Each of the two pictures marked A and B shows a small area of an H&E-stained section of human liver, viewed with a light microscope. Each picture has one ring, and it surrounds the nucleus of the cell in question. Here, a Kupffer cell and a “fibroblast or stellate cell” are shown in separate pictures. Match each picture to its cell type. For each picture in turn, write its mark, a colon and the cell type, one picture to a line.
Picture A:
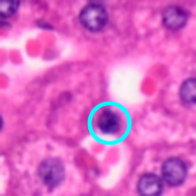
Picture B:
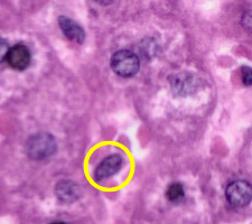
A: fibroblast or stellate cell
B: Kupffer cell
